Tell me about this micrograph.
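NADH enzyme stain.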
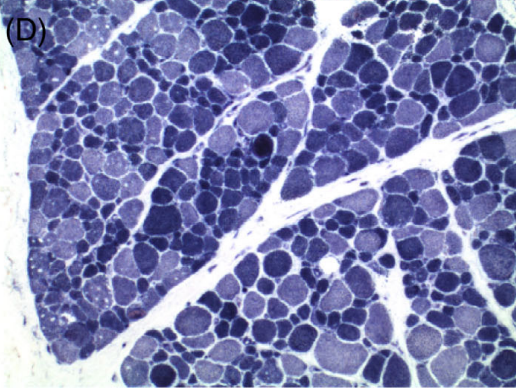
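Skeletal muscle fibres in cross-section stained blue-purple, arranged in fascicles separated by pale connective tissue septa. The fibres form a mosaic of darkly and pale staining ones, and their sizes vary from small rounded to large polygonal.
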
